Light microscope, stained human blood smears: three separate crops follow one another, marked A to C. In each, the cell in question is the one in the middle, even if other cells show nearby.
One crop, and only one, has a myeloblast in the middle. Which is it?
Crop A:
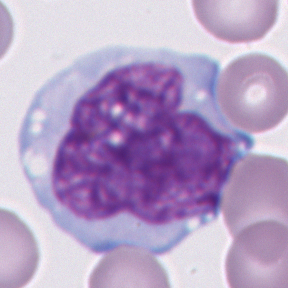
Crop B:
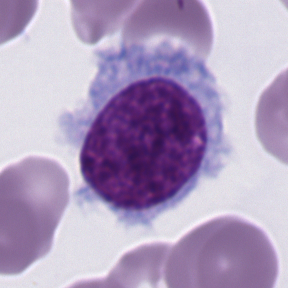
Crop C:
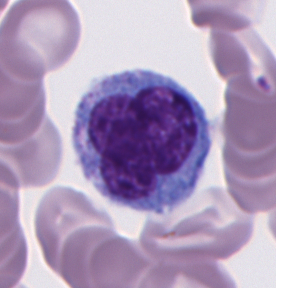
A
